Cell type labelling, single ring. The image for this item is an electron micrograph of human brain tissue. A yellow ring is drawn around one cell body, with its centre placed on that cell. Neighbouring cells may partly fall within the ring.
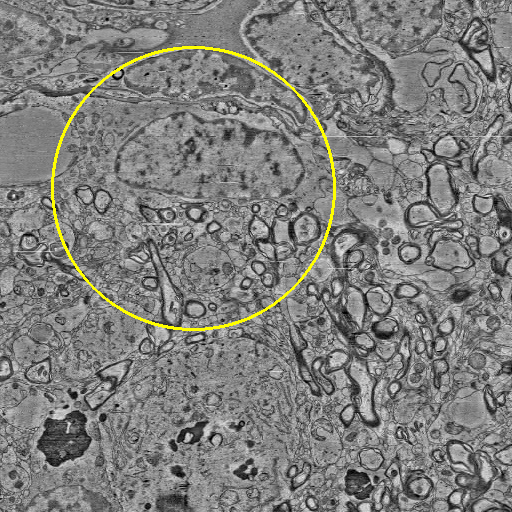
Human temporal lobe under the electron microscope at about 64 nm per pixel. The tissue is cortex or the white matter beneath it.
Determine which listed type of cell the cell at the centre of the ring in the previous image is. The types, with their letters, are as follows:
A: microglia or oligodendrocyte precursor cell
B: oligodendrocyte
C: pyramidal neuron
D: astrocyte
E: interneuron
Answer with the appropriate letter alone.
A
